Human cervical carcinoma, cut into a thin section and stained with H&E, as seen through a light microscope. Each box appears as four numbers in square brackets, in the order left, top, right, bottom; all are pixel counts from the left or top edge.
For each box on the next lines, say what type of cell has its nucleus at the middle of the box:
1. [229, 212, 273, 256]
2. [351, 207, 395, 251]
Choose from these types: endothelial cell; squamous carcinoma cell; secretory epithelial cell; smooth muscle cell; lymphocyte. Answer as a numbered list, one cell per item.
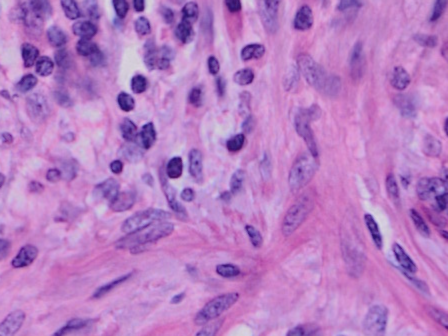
1. smooth muscle cell
2. lymphocyte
